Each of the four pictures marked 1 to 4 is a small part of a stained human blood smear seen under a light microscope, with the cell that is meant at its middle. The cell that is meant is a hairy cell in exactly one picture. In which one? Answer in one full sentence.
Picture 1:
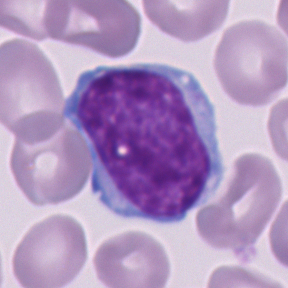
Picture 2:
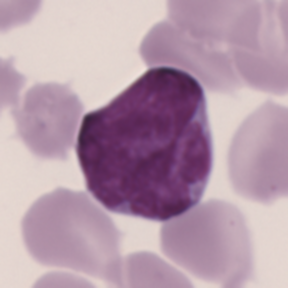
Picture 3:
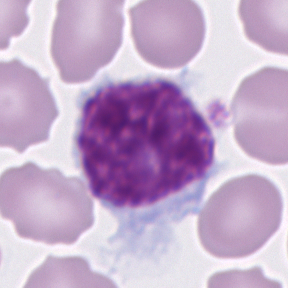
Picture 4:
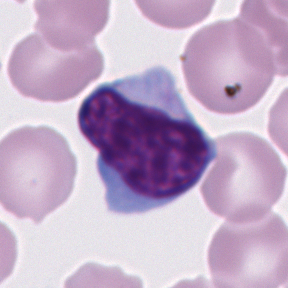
The hairy cell is the one in picture 3.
